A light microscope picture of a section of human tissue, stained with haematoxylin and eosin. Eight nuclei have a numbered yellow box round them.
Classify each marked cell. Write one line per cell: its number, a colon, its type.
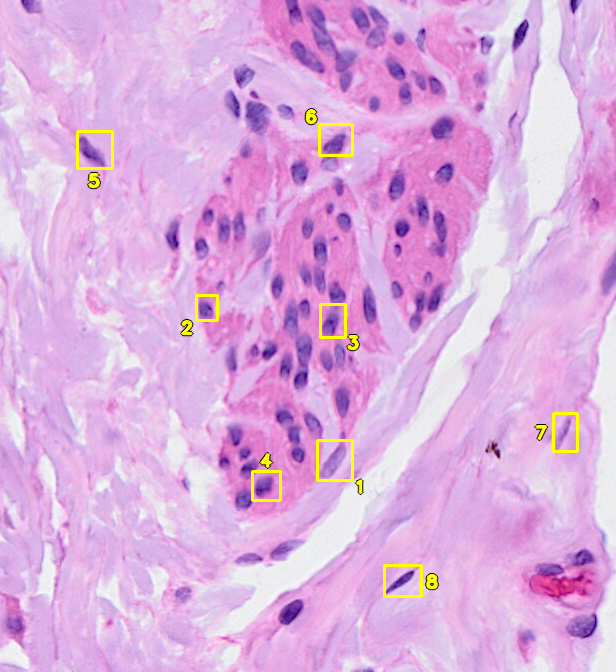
1: smooth muscle cell
2: smooth muscle cell
3: smooth muscle cell
4: smooth muscle cell
5: fibroblast
6: smooth muscle cell
7: fibroblast
8: fibroblast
